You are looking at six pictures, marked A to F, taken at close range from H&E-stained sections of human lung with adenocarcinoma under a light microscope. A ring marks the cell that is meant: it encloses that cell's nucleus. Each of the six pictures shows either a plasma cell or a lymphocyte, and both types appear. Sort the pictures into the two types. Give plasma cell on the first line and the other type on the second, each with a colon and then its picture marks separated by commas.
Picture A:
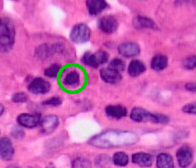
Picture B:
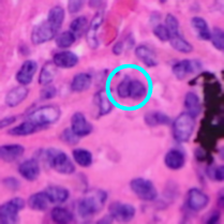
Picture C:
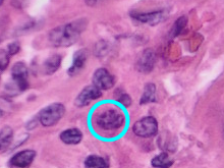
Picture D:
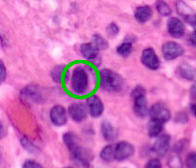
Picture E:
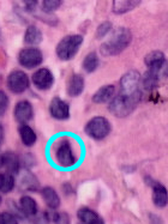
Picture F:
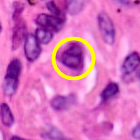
plasma cell: C, F
lymphocyte: A, B, D, E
